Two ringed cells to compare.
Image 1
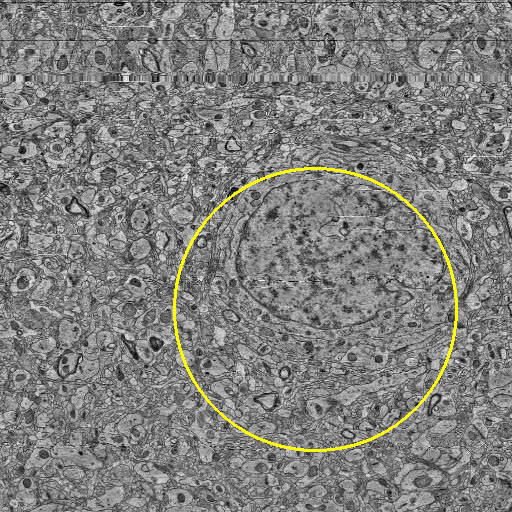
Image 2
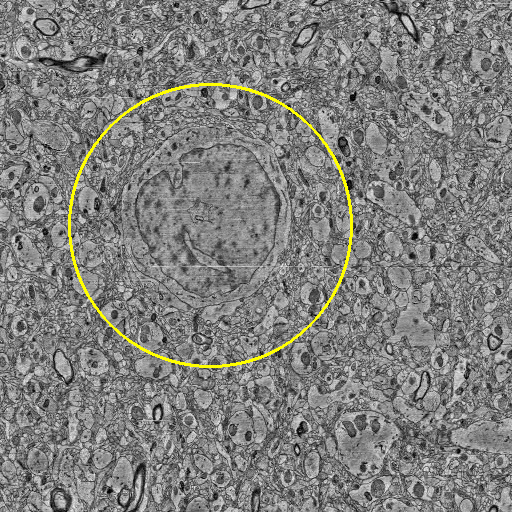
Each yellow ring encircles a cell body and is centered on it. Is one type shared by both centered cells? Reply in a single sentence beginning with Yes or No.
Yes, a single type is shared by the two cells at the centers of the rings.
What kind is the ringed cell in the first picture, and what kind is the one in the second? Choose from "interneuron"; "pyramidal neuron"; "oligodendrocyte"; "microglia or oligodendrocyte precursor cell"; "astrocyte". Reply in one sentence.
Each of the two rings is centred on an interneuron.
